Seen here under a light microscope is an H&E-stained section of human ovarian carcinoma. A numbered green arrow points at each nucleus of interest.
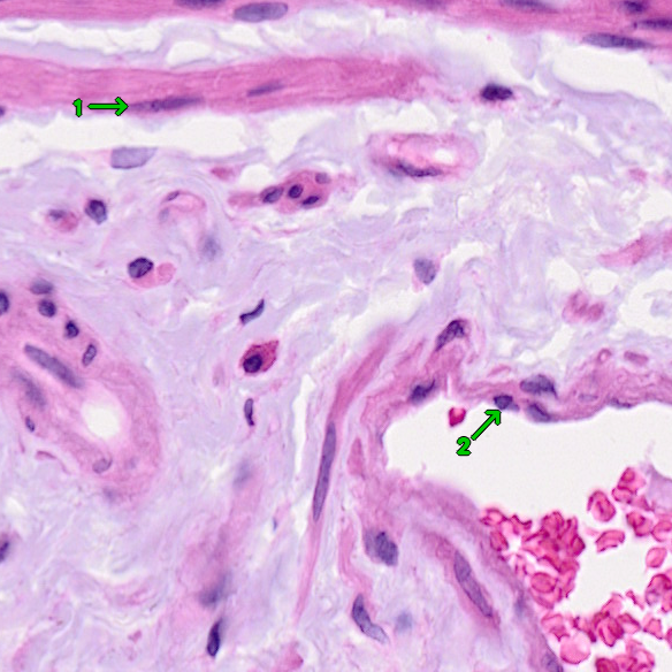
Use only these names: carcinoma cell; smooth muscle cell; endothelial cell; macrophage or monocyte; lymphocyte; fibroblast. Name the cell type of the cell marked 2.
endothelial cell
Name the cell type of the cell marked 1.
smooth muscle cell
